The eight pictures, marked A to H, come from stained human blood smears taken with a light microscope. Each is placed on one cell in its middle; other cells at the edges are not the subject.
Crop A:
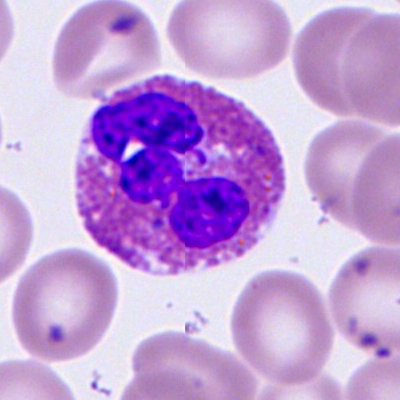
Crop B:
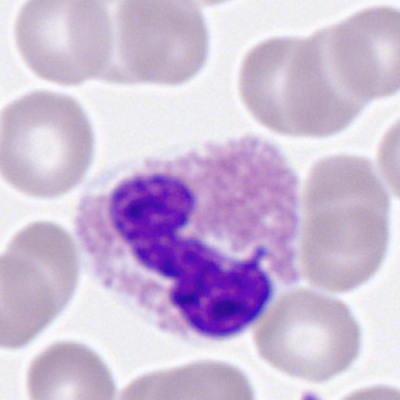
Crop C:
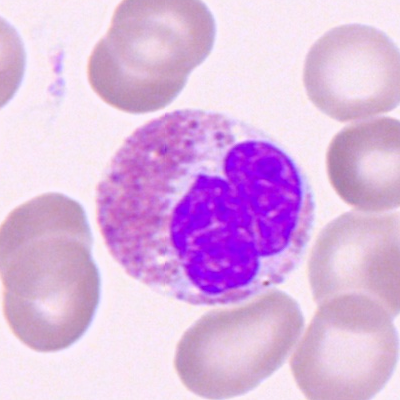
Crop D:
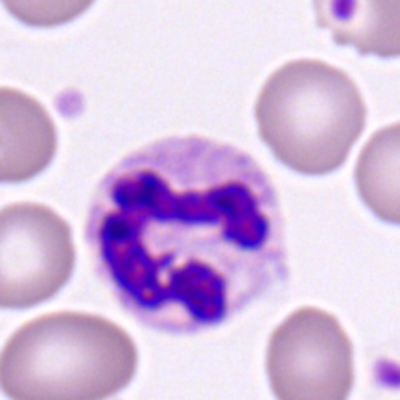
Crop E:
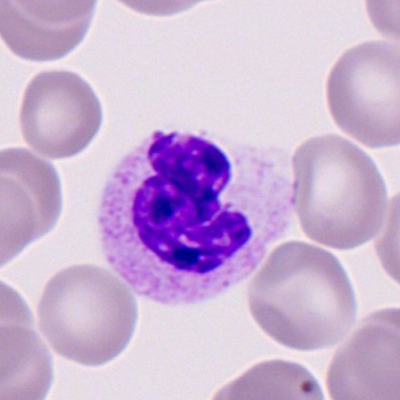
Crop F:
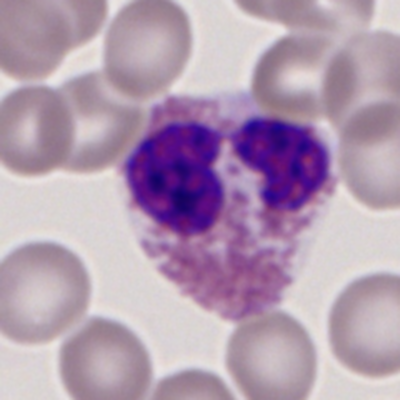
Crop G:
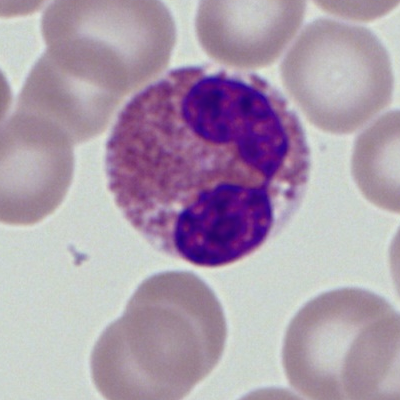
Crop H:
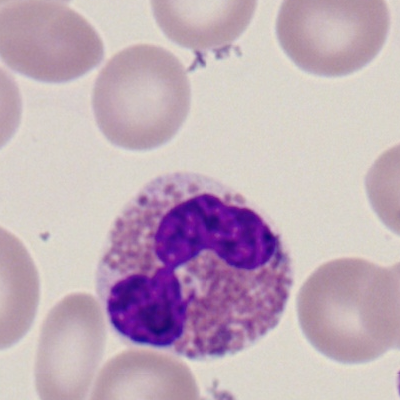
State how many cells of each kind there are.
eosinophil: 6
segmented neutrophil: 2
